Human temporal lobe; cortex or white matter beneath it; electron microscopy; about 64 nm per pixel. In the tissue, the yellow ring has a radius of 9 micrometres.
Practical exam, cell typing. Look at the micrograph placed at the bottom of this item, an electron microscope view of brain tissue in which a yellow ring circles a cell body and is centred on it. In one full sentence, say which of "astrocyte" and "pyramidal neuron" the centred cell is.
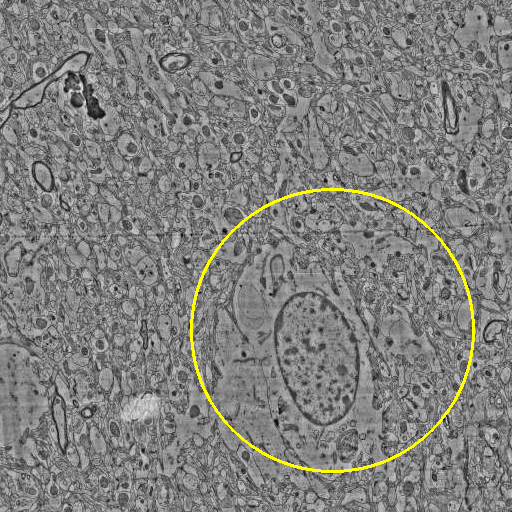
Given the options, an astrocyte fits the cell whose body the yellow ring is centred on.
